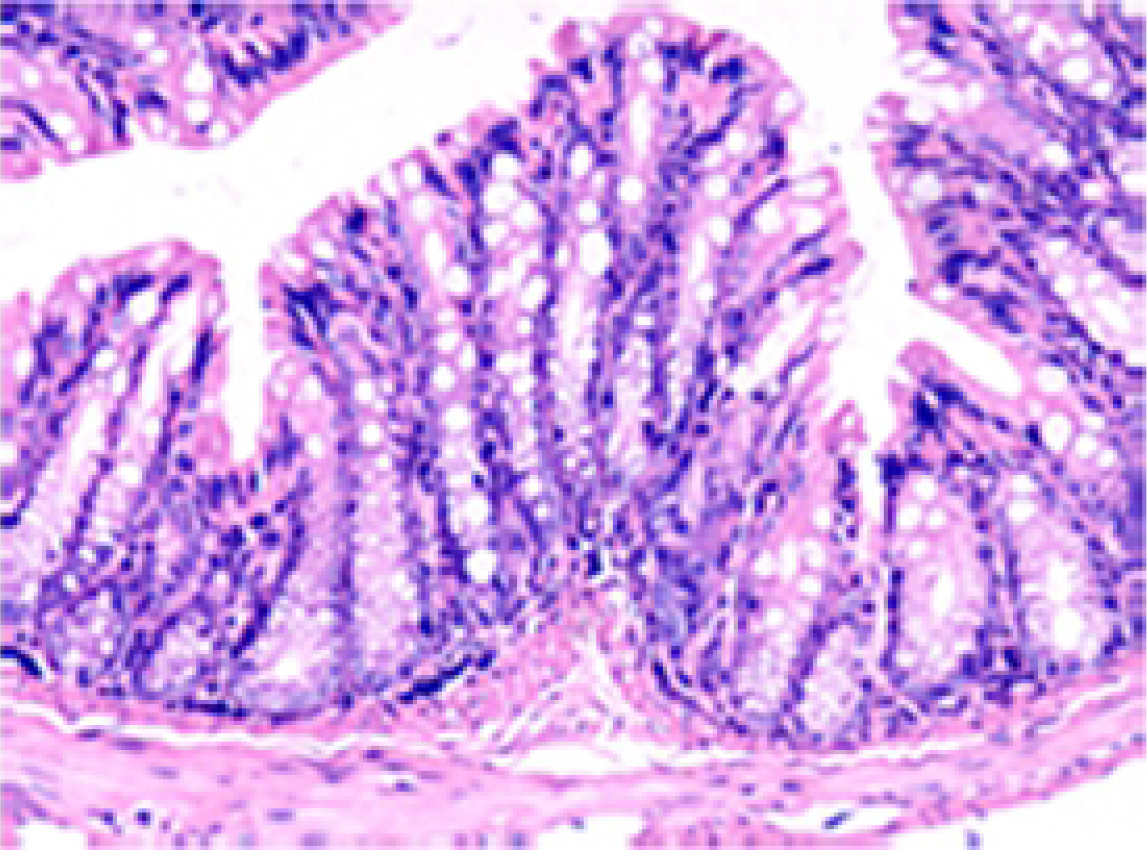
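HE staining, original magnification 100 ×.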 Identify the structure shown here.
Crypts.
